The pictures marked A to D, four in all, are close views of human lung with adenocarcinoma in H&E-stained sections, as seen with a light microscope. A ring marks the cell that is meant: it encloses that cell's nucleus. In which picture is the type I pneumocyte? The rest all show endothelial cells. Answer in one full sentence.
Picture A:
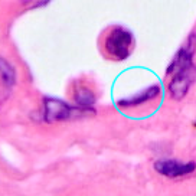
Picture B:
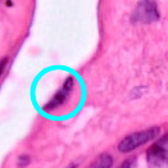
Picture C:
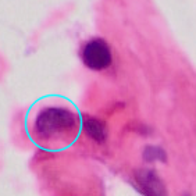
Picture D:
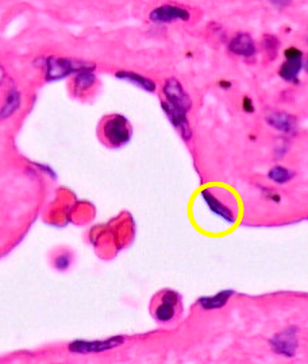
The type I pneumocyte is the one in picture C.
